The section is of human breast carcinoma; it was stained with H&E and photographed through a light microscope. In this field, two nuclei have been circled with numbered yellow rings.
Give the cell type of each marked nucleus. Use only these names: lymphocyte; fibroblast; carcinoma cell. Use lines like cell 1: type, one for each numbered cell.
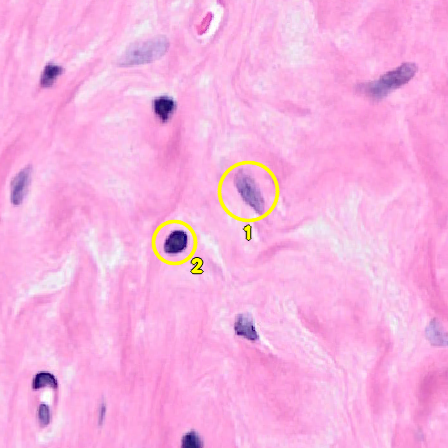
cell 1: fibroblast
cell 2: lymphocyte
